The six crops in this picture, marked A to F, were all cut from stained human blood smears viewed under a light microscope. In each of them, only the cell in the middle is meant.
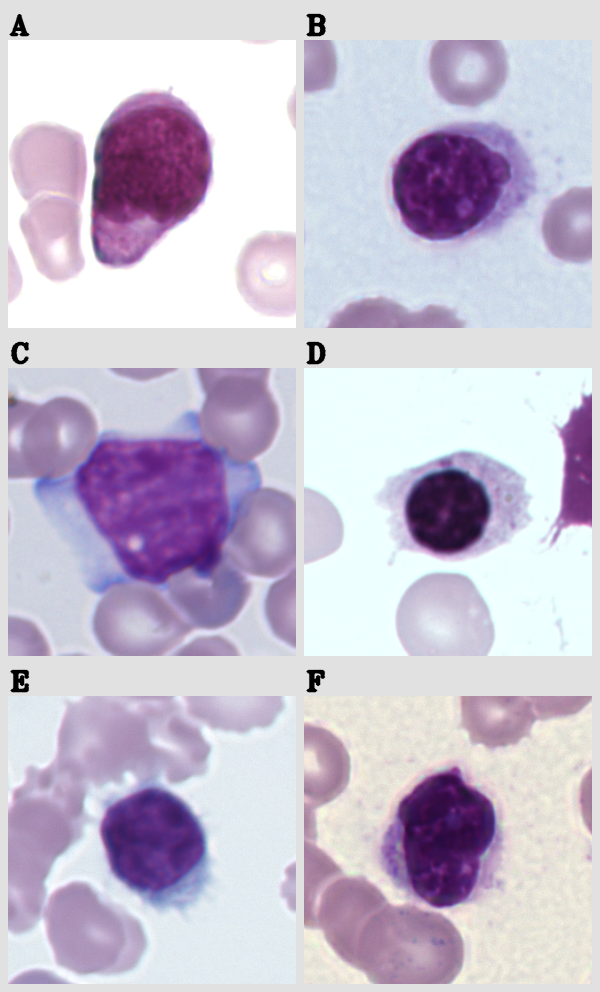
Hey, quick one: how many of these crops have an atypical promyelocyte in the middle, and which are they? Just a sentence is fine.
One crop alone shows an atypical promyelocyte, and that is the crop marked A.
